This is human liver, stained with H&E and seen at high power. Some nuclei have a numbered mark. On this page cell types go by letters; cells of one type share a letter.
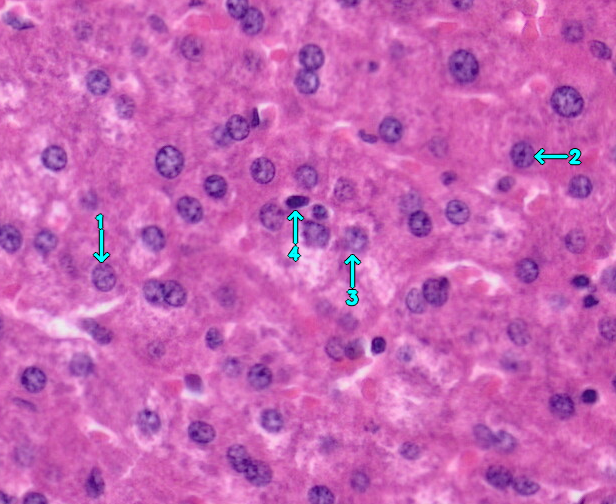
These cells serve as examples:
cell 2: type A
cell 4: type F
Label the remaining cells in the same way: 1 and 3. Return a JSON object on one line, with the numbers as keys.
{"1": "type A", "3": "type A"}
